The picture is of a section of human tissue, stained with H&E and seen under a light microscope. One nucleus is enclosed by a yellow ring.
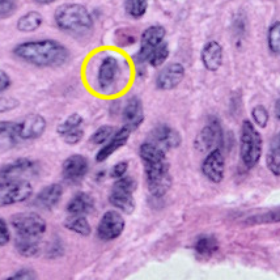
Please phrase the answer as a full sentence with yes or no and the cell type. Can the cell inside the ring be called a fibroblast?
No, the cell inside the ring is to be identified as a squamous carcinoma cell, not a fibroblast.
